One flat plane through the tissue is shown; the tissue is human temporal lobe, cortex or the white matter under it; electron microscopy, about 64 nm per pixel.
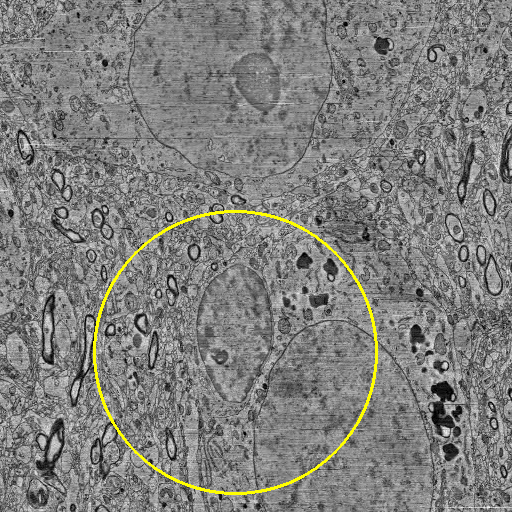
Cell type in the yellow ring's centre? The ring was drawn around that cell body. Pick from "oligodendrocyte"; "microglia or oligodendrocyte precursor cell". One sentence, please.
The ringed cell body is that of an oligodendrocyte.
